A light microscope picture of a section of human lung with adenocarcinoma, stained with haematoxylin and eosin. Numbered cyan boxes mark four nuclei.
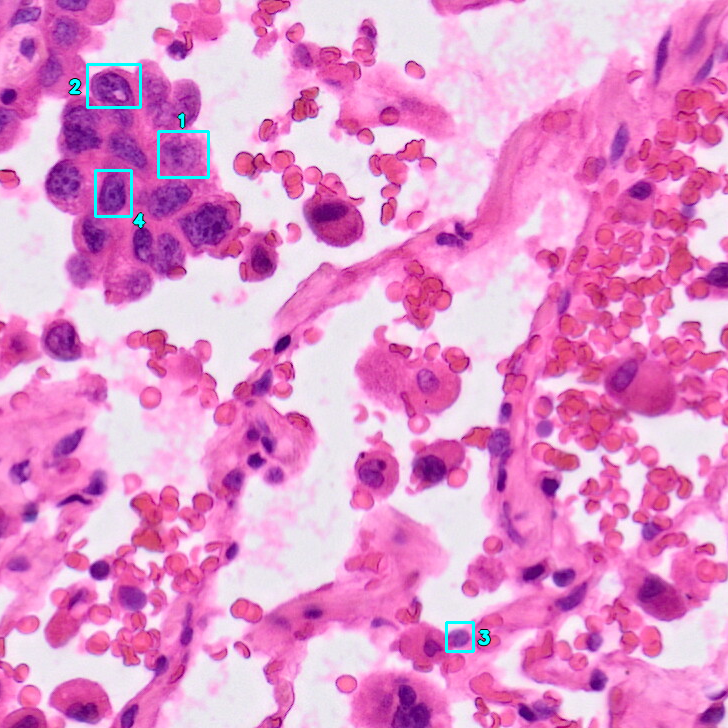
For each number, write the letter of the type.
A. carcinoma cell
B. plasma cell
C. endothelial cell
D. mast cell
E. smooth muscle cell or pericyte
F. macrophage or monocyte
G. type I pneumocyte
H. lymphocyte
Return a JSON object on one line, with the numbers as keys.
{"1": "A", "2": "A", "3": "G", "4": "A"}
